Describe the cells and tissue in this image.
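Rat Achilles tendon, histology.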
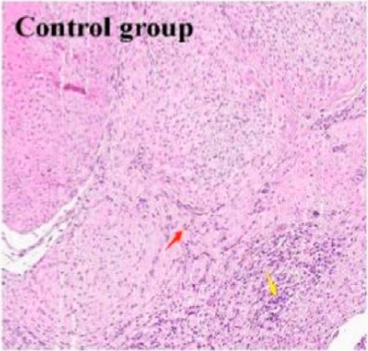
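In the lower right part a patch of inflammatory cells stands out, crowded with small dark purple nuclei. The fibres run in different directions instead of in one orderly parallel course.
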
